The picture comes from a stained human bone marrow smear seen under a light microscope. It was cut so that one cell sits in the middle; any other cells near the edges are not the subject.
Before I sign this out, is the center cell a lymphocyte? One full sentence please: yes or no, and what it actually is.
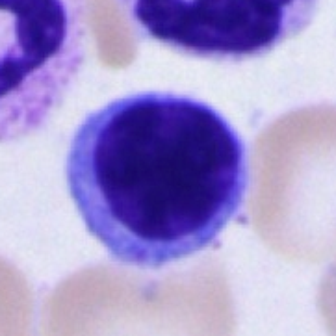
Yes, the cell found in the center of the crop is a lymphocyte.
